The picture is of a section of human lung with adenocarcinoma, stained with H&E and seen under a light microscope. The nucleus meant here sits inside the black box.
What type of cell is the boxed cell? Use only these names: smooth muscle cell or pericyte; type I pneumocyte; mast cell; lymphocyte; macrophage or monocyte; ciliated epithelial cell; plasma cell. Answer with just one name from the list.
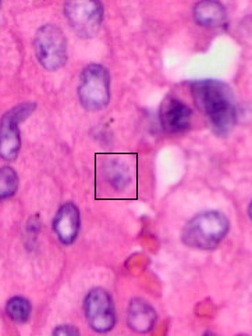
macrophage or monocyte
